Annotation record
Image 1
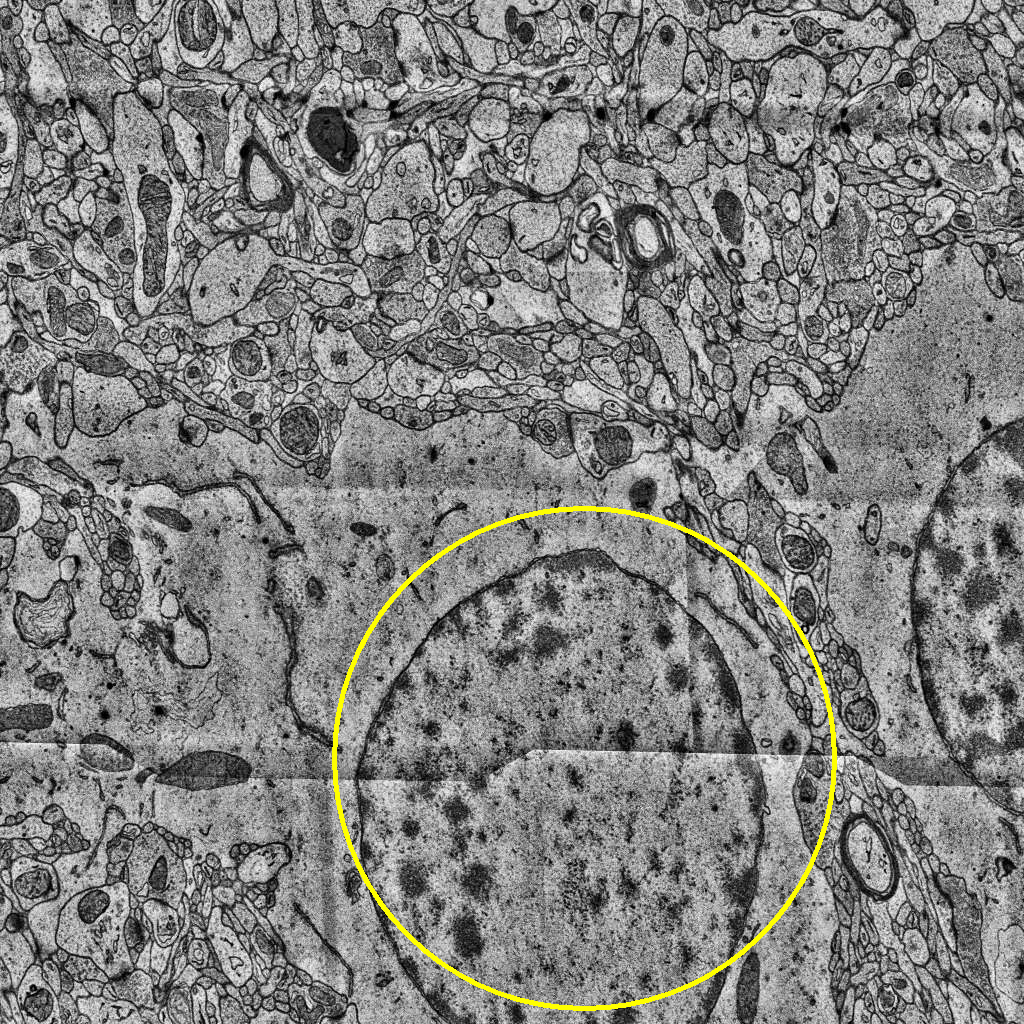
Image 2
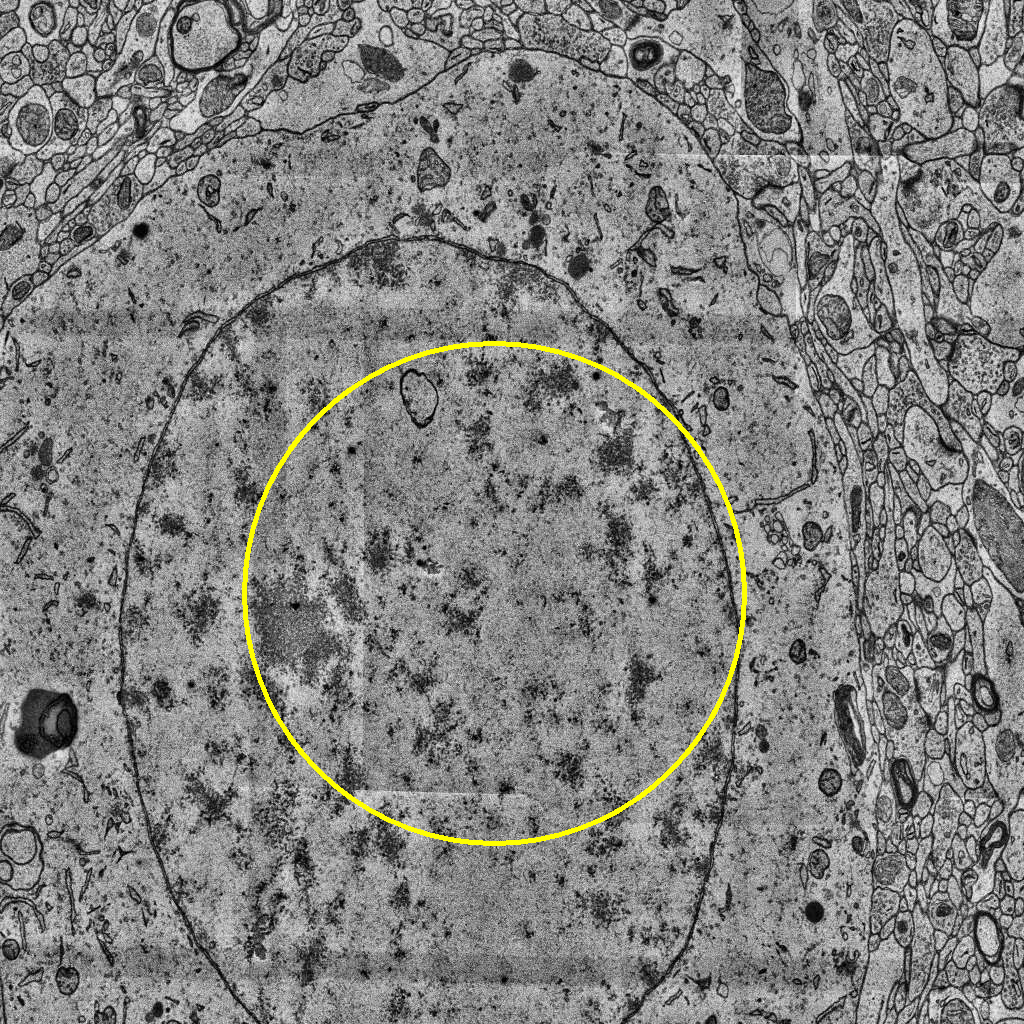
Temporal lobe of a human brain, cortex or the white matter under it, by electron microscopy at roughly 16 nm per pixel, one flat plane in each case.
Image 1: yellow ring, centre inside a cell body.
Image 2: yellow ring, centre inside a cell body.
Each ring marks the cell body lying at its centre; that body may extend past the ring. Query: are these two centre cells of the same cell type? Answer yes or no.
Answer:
no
